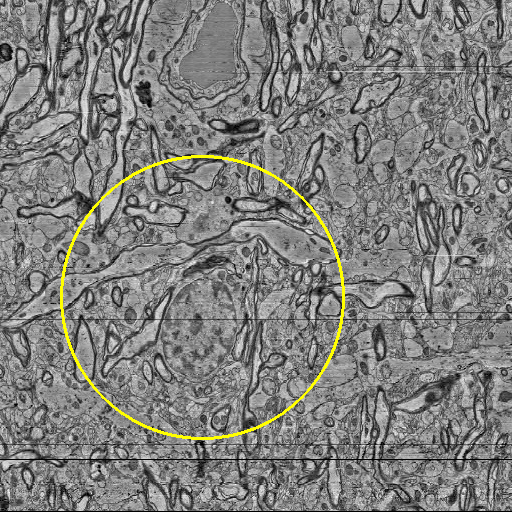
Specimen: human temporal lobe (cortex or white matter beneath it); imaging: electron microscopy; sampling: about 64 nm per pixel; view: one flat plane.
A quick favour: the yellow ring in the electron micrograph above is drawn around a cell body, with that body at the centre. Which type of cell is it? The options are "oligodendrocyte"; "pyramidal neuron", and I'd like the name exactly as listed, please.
oligodendrocyte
